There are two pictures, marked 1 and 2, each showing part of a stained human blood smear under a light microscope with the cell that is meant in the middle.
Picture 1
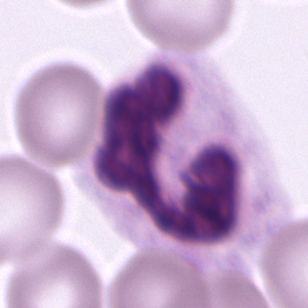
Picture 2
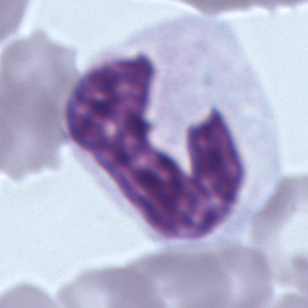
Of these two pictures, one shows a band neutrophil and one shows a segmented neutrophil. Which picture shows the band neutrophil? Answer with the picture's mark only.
2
